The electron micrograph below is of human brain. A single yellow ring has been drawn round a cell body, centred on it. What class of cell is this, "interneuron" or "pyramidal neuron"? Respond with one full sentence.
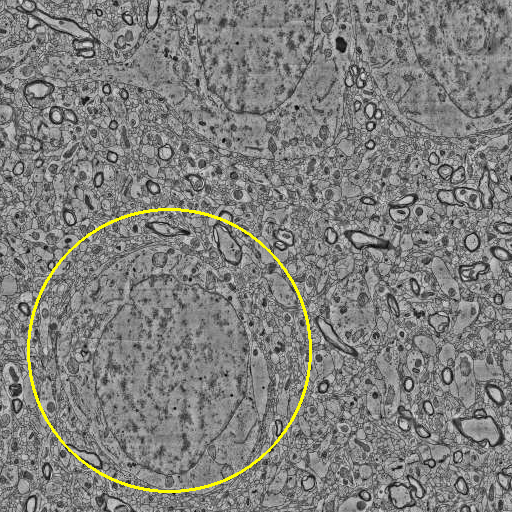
In the micrograph, the cell centred inside the yellow ring is a pyramidal neuron.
